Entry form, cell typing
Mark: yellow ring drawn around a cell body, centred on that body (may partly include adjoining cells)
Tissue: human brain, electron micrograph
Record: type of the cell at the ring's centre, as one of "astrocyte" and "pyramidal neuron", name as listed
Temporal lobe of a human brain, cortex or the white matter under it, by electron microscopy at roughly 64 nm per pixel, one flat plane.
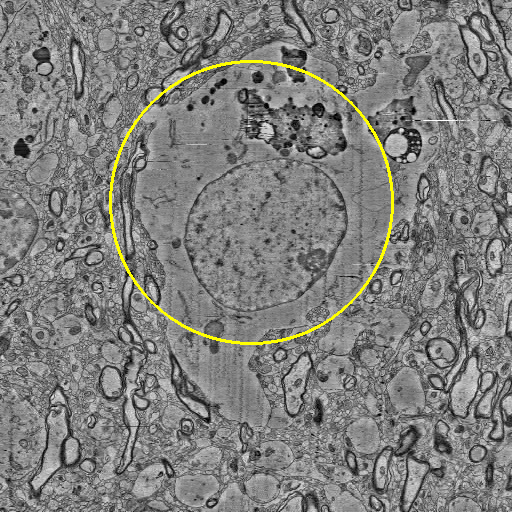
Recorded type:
astrocyte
